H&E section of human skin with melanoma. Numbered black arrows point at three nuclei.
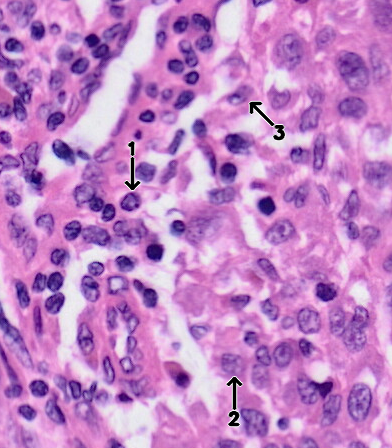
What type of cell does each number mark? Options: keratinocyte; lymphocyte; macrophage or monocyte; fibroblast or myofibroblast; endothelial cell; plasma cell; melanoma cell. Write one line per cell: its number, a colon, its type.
1: lymphocyte
2: melanoma cell
3: macrophage or monocyte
